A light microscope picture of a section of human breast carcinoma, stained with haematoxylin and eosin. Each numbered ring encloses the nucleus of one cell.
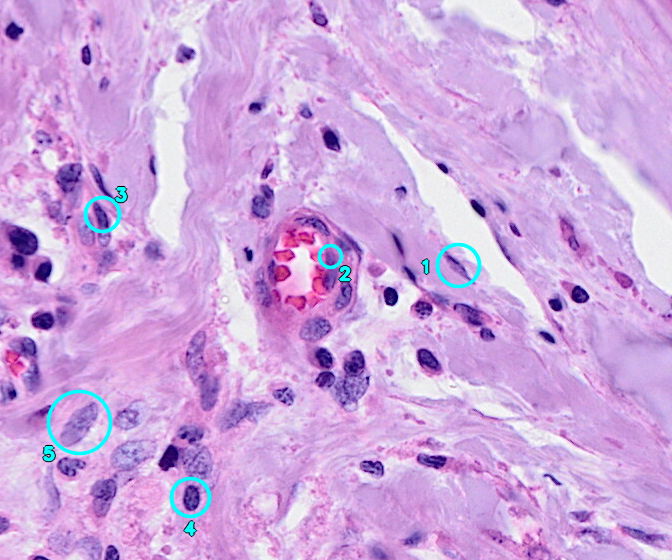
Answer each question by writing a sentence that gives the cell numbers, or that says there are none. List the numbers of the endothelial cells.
Into the category of endothelial cells fall the cells numbered 2 and 3.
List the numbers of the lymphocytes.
Whereas cell 4 is a lymphocyte, the other numbered cells are not.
